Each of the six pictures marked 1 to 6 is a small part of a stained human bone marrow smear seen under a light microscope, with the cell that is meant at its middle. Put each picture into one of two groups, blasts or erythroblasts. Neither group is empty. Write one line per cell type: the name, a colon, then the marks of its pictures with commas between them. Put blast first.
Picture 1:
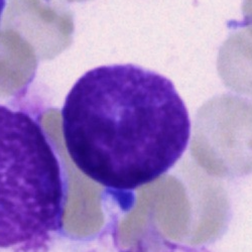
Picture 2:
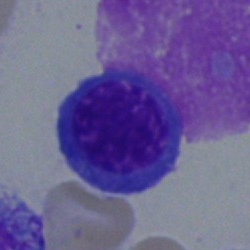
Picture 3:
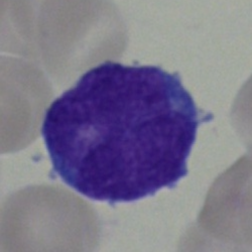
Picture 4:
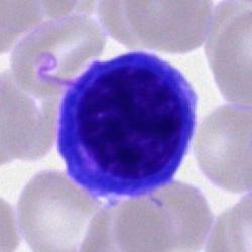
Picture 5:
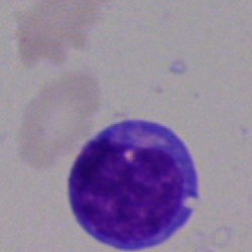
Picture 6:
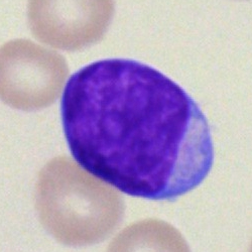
blast: 1, 3, 5, 6
erythroblast: 2, 4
